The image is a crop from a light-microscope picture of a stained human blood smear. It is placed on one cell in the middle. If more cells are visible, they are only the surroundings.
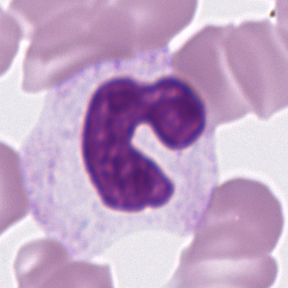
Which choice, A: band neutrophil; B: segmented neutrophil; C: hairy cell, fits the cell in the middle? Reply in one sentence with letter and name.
The cell in the middle is correctly identified as a band neutrophil in option A.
